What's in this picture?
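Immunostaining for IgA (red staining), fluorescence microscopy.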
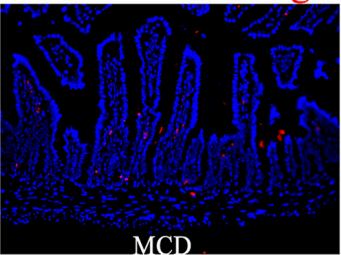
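Small intestine in longitudinal section showing a row of tall, slender villi rising from a dense basal zone. Each villus is bordered by a single line of closely packed oval blue nuclei of the surface epithelium, enclosing a looser core with sparser nuclei. Small bright red cells lie scattered within the villus cores and in the region near the villus bases. At the bottom, nuclei are crowded in the crypt zone, with a thin band of elongated nuclei beneath. Spaces between villi appear black.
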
